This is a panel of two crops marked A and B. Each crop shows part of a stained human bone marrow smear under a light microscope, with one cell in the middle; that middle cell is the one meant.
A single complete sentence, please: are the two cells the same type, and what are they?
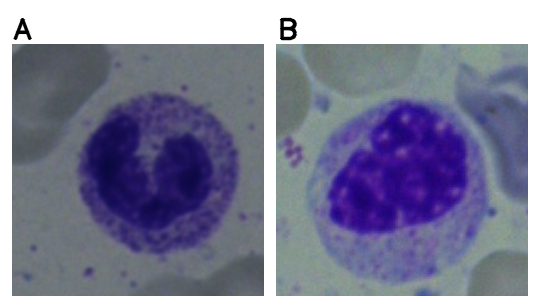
Yes, both crops show band neutrophils, each crop centred on one of them.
